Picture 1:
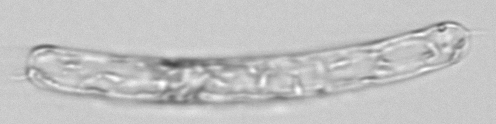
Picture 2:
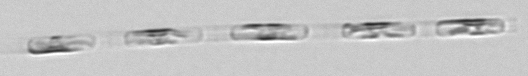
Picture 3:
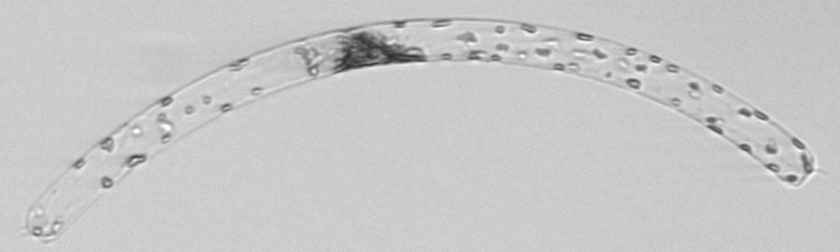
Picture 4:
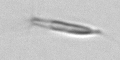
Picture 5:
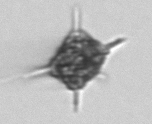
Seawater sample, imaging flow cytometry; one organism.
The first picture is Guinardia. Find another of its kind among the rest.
Picture 3.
